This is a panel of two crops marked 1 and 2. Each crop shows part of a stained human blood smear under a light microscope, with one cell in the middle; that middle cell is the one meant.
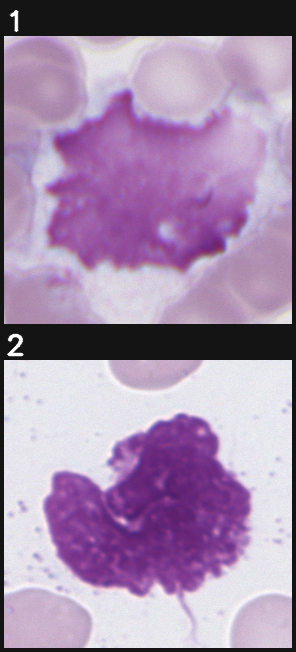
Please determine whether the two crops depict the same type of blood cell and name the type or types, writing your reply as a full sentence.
Yes, the two crops are alike in showing smudge cells.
